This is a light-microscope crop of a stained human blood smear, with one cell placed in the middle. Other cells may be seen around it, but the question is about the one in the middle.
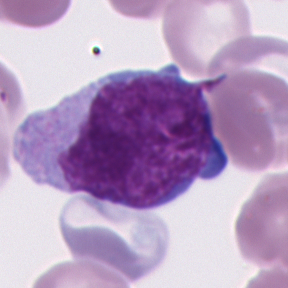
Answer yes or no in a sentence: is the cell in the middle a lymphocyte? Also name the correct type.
No, the one in the center is not a lymphocyte; it is a blast.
